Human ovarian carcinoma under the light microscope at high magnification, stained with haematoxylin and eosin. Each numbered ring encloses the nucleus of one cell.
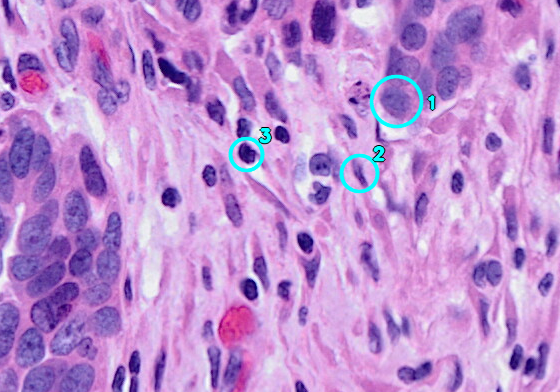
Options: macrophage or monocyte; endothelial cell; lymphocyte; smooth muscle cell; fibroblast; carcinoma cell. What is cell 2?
fibroblast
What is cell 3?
lymphocyte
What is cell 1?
carcinoma cell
